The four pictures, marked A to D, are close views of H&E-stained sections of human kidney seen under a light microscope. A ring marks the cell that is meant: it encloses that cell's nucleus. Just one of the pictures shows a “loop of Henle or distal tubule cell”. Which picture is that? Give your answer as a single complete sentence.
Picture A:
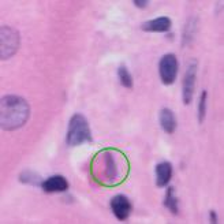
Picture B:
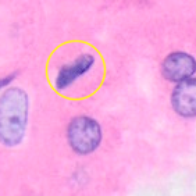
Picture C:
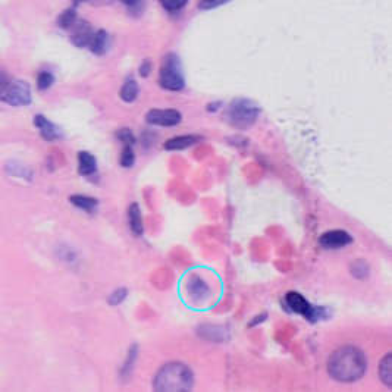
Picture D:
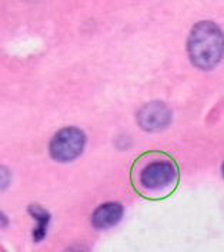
The picture with the “loop of Henle or distal tubule cell” is D.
